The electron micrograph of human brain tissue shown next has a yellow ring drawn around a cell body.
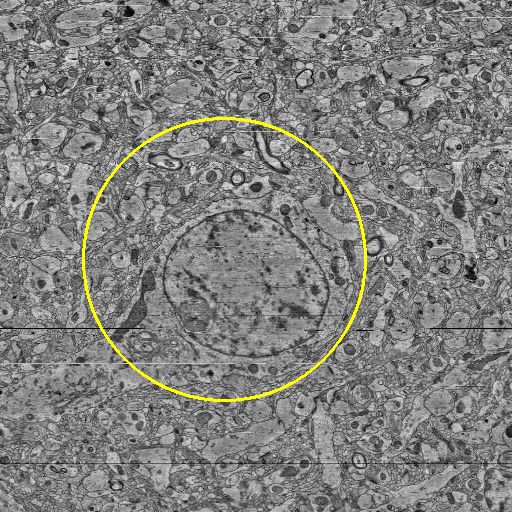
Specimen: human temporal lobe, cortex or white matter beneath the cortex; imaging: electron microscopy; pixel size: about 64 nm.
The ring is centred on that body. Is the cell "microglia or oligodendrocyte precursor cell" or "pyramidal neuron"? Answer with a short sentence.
The cell in question is a pyramidal neuron.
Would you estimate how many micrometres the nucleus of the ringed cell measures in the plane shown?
About 10 micrometers across, in this plane.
